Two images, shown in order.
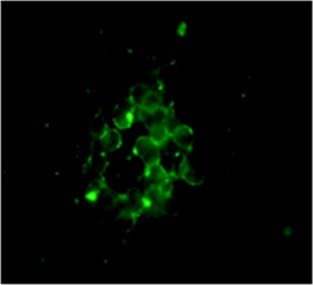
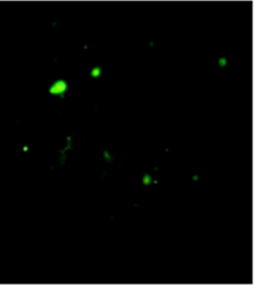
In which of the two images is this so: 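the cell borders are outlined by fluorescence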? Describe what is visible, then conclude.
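First image: a cluster of cells with green rims outlining each cell. Second image: only a few scattered bright green dots and specks, no outlined cells.
Answer: the first image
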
